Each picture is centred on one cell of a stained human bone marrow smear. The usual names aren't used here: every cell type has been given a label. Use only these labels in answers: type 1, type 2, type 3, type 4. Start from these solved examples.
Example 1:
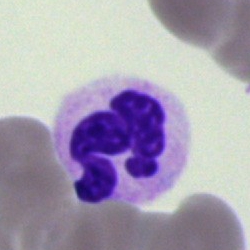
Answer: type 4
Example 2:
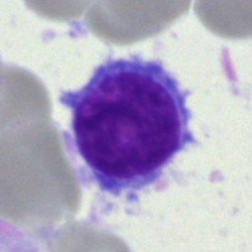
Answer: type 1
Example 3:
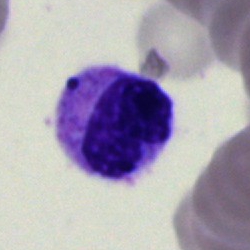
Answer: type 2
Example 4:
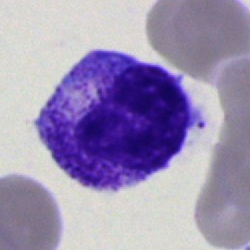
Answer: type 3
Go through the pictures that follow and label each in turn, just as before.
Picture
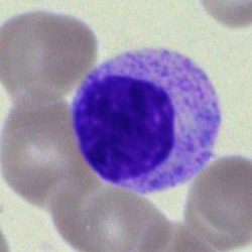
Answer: type 3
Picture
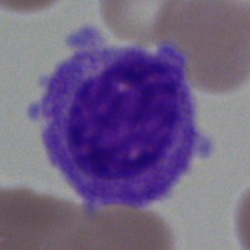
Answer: type 3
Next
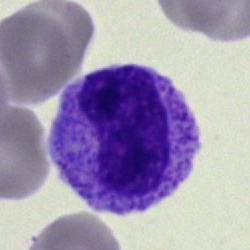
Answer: type 2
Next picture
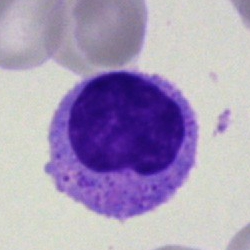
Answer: type 3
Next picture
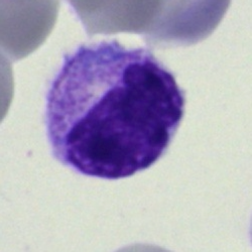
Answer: type 3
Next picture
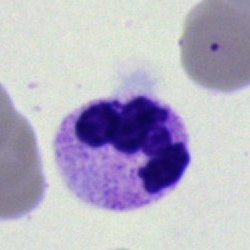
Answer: type 4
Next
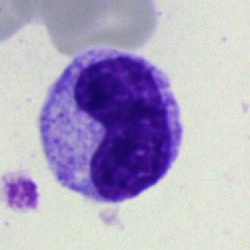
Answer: type 2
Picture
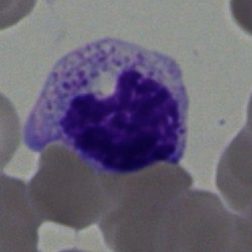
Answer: type 3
